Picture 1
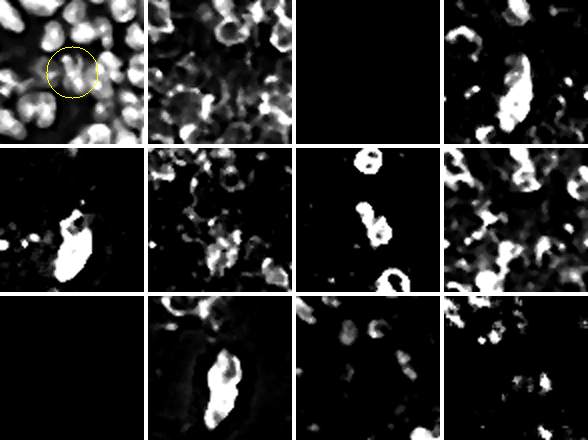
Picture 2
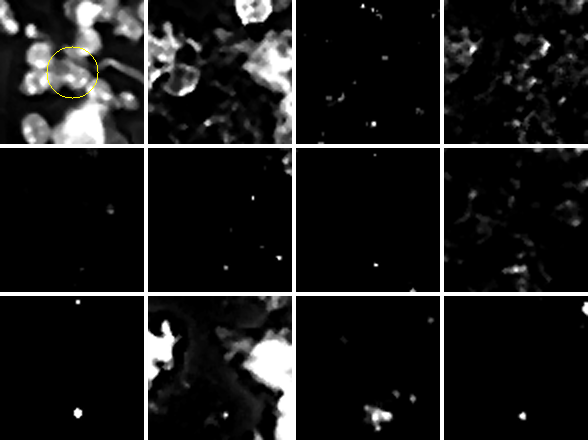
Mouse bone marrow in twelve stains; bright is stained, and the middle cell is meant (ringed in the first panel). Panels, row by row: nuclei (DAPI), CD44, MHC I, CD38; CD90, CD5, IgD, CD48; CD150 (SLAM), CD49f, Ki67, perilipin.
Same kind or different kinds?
Same: capillary endothelial cells.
